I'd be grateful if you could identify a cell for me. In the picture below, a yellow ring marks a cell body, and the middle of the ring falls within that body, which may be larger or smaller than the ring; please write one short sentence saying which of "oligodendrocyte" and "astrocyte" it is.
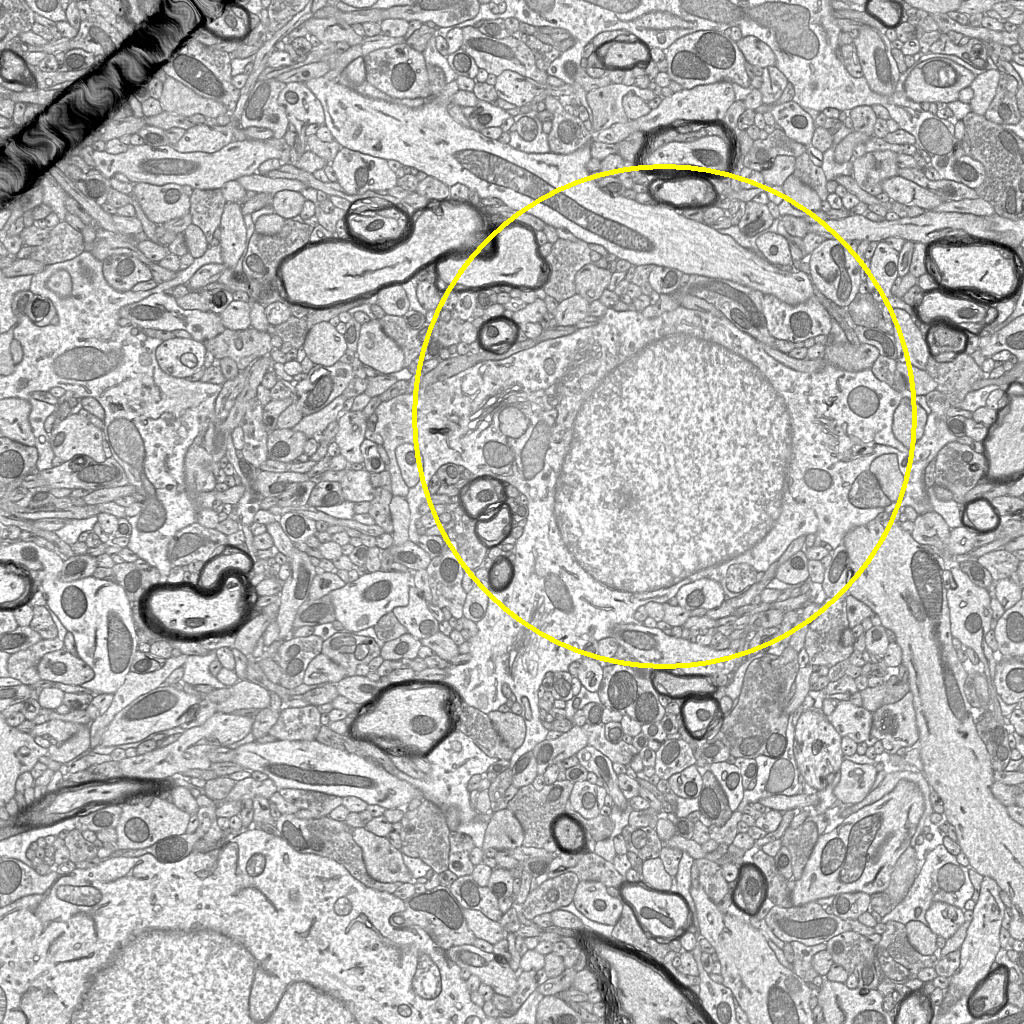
The cell under the ring's centre is an astrocyte.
